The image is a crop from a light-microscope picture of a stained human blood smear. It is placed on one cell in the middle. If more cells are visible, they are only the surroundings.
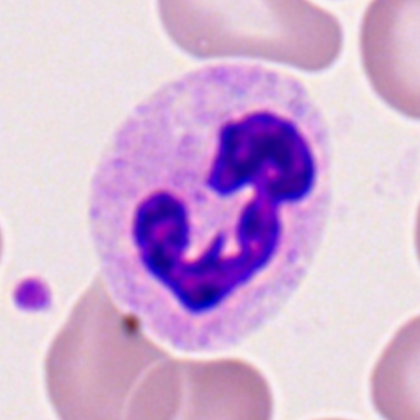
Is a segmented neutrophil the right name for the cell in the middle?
yes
